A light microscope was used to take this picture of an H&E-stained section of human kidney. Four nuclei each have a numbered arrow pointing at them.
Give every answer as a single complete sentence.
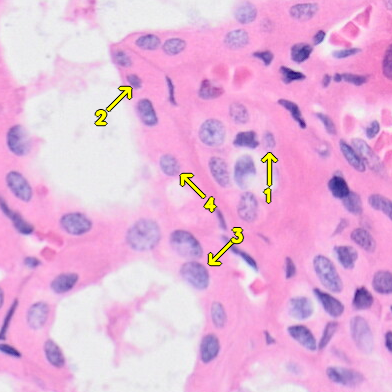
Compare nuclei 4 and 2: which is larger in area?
Nucleus 4 covers more area, about 2.5 times as much as nucleus 2.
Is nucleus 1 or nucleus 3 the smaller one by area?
With nucleus 3 about 3 times its size, nucleus 1 is the smaller of the two.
